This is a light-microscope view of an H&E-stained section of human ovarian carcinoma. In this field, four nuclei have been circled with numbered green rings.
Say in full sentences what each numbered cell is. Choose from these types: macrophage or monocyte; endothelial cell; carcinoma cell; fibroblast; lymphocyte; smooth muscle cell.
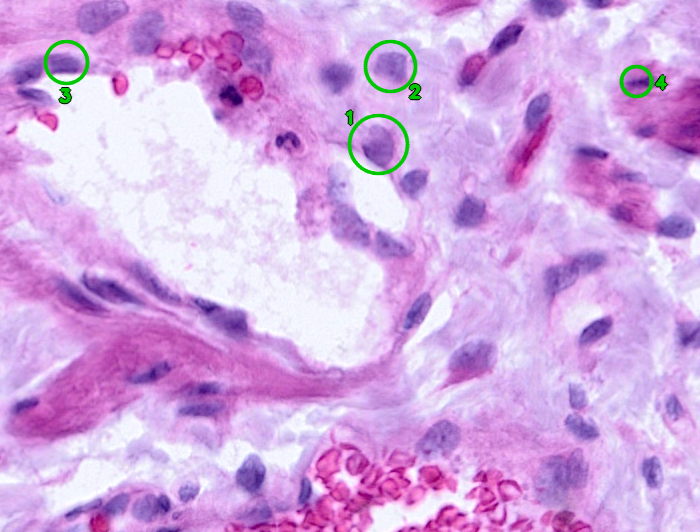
Cells 1 and 2 are fibroblasts. Cell 3 is an endothelial cell. Cell 4 is a smooth muscle cell.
